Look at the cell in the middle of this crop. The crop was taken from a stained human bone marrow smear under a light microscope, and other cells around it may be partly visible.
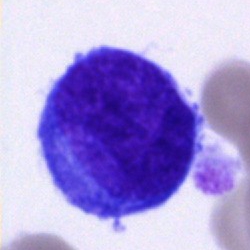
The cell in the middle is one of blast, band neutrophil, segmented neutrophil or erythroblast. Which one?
blast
